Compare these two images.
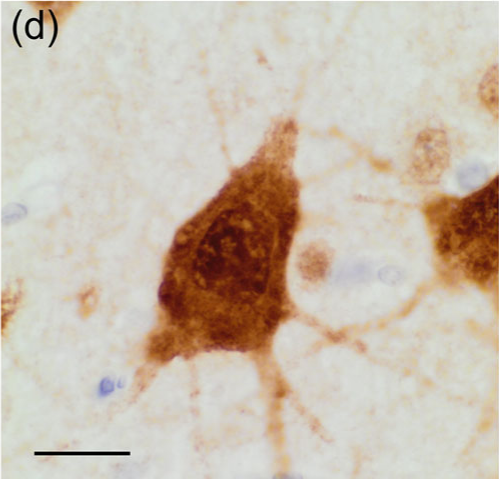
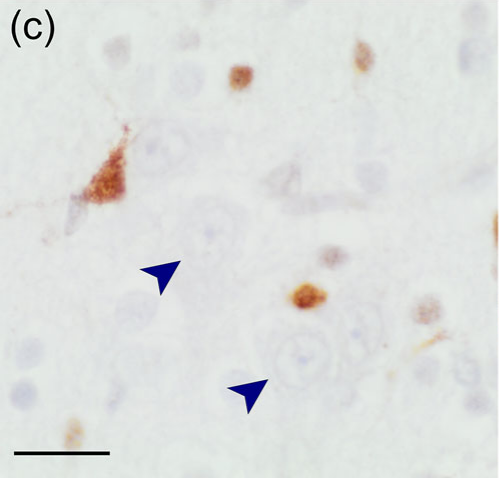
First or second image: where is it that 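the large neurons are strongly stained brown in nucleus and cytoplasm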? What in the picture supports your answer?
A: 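The first image. First image: a large pyramidal cell is dark brown throughout its body, nucleus and processes. Second image: the large cells with pale nuclei are unstained, while only small cells are brown.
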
